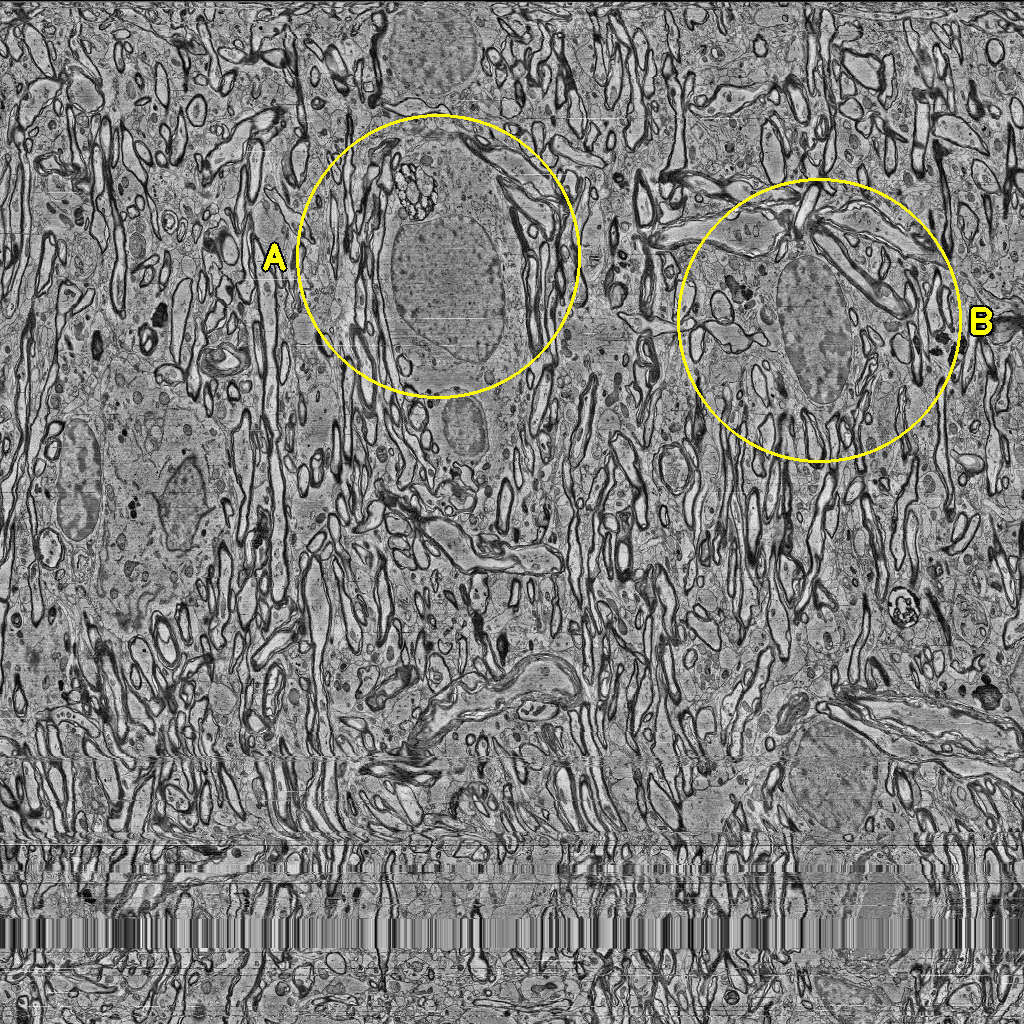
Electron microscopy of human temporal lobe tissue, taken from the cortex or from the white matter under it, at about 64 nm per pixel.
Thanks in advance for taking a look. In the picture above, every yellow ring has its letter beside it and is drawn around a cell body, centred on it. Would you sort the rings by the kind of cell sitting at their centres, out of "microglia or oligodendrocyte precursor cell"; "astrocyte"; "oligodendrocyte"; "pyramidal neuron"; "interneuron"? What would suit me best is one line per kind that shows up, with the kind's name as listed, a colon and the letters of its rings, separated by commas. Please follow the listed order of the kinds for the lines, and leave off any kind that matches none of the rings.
microglia or oligodendrocyte precursor cell: B
astrocyte: A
